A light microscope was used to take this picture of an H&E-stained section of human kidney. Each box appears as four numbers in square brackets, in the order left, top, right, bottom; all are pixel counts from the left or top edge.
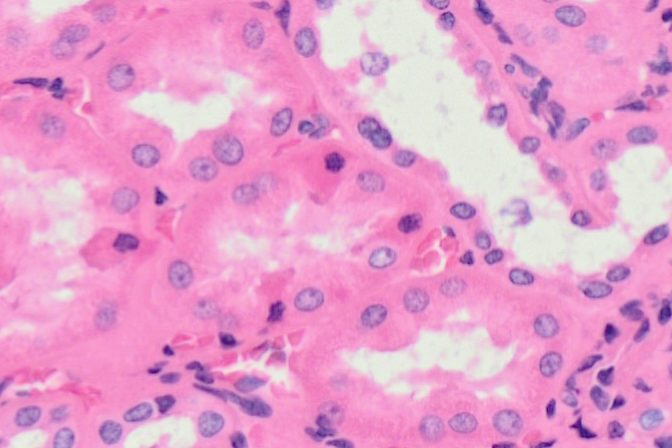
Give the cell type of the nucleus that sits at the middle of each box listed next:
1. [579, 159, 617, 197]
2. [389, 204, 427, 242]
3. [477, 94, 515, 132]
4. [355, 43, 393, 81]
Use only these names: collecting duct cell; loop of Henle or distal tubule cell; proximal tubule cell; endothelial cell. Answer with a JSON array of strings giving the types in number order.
["loop of Henle or distal tubule cell", "proximal tubule cell", "loop of Henle or distal tubule cell", "loop of Henle or distal tubule cell"]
